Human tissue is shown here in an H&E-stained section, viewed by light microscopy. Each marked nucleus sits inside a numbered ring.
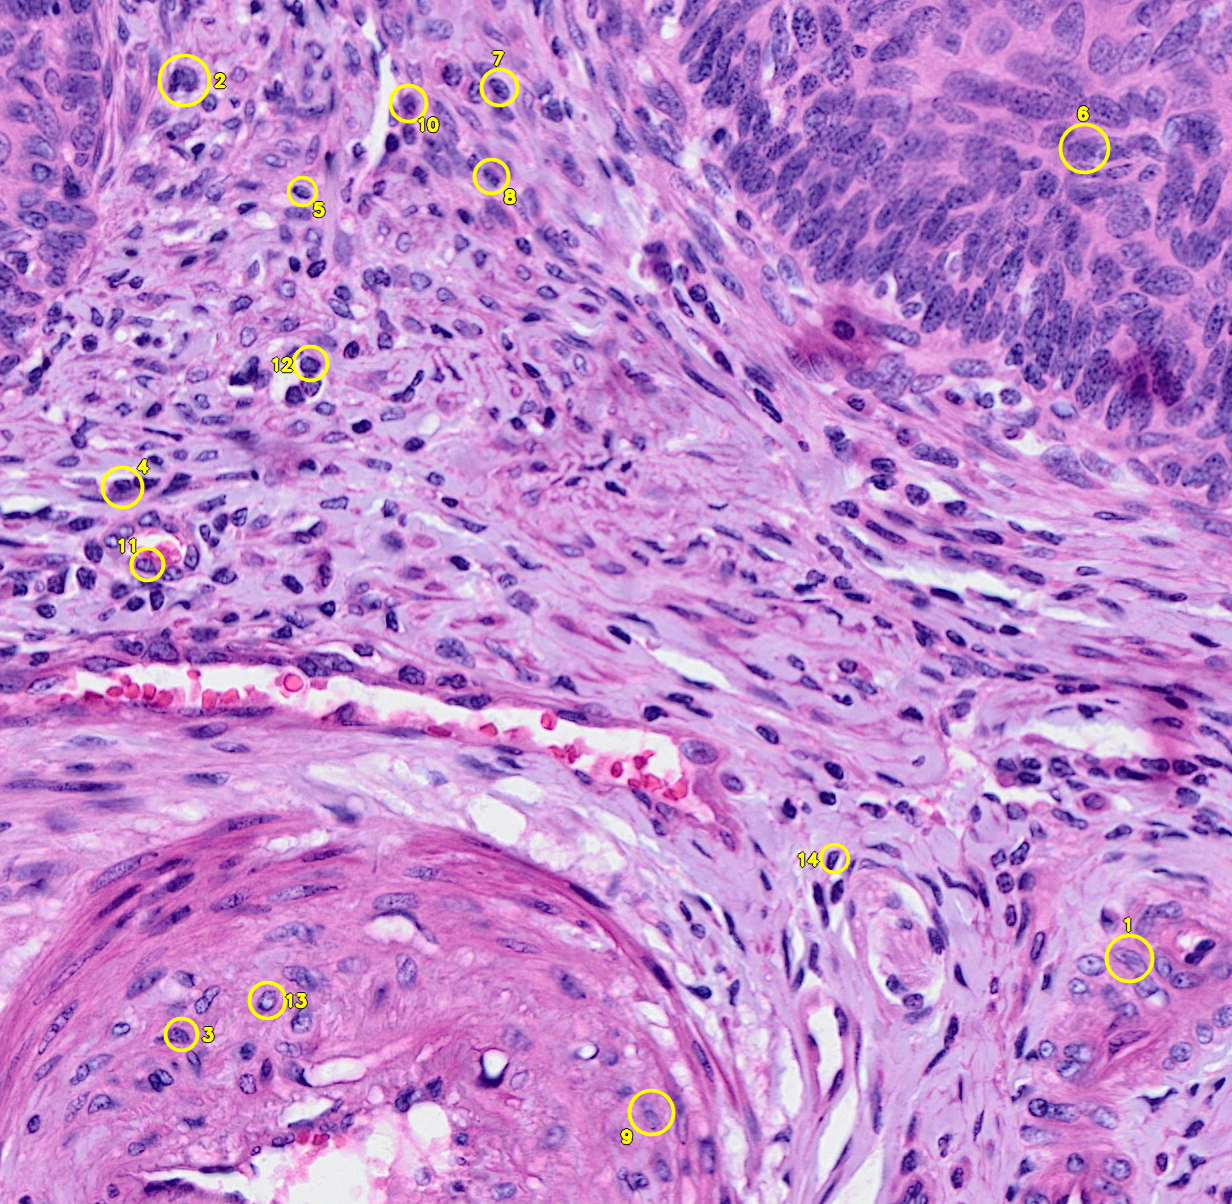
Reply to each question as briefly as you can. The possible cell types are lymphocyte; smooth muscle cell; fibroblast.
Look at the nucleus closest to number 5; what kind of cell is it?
fibroblast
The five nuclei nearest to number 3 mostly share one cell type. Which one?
smooth muscle cell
